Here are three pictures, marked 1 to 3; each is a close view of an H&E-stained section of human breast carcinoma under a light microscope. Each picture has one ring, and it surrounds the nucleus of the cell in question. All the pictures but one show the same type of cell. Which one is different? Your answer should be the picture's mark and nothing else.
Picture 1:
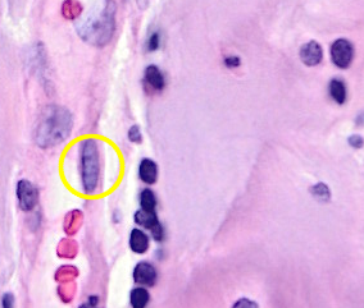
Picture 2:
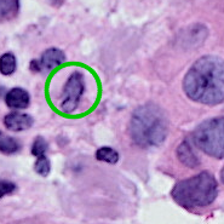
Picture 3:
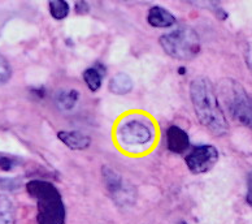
1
